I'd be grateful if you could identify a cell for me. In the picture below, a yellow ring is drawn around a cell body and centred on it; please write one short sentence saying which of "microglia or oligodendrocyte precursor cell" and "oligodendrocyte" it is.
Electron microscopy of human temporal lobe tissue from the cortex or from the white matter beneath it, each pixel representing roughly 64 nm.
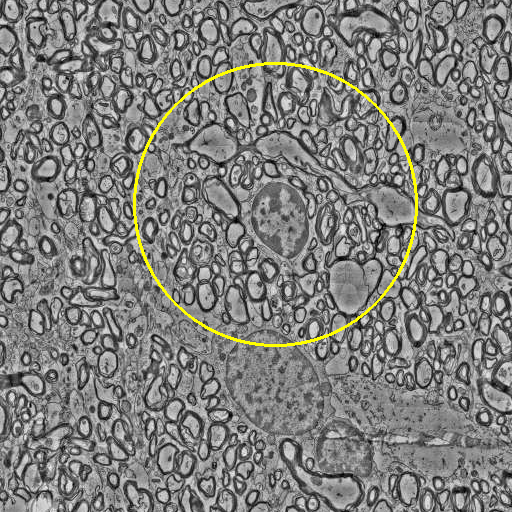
The cell under the ring's centre is a microglial cell or oligodendrocyte precursor cell.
